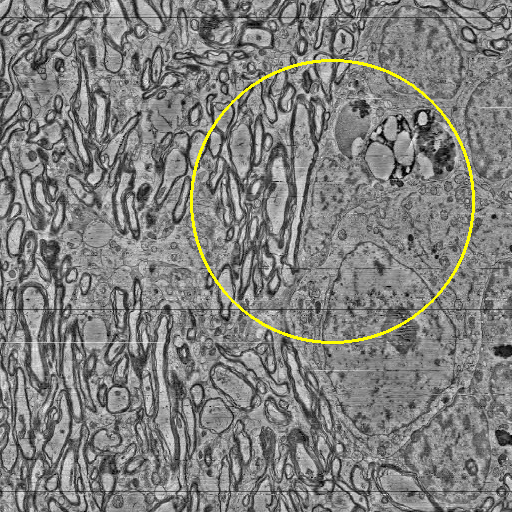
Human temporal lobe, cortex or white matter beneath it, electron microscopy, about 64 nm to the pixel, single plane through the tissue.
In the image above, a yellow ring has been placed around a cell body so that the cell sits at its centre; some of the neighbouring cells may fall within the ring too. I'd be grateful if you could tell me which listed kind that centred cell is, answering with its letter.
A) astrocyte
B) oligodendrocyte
A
